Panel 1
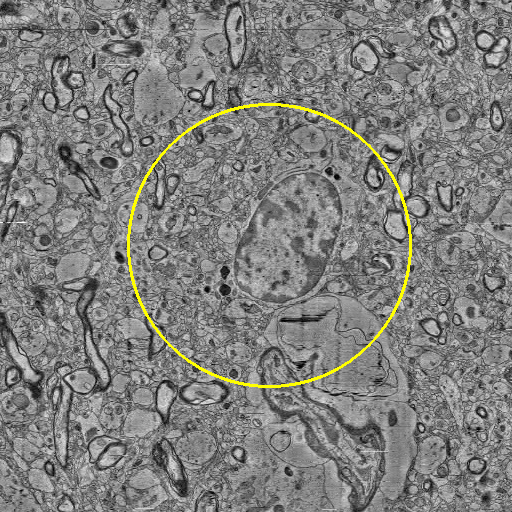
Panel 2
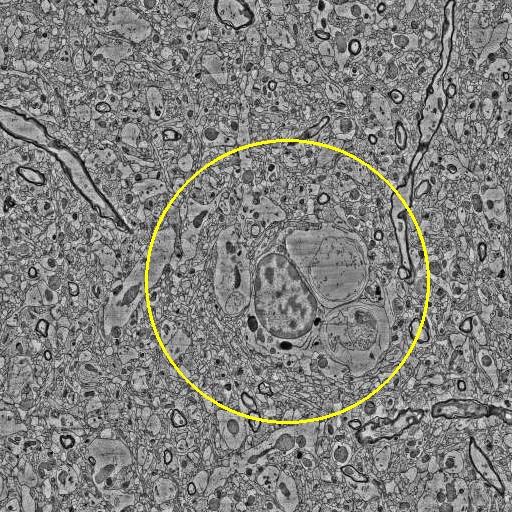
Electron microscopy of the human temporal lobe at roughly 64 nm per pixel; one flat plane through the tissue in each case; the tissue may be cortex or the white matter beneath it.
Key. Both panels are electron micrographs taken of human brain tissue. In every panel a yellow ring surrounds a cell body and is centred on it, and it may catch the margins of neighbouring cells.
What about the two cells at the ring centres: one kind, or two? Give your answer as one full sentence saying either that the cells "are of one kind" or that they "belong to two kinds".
Across Panels 1 and 2, the two cells at the ring centres are of one kind.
